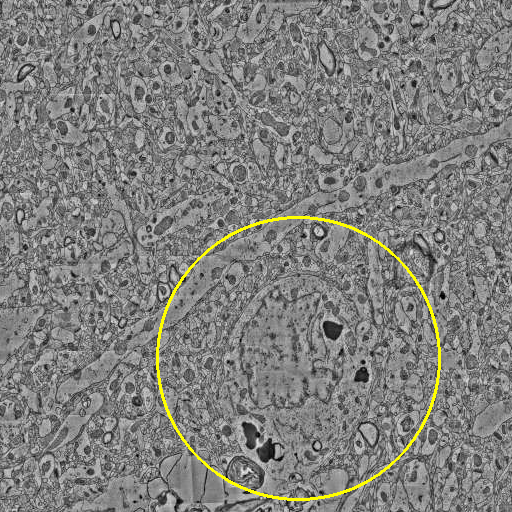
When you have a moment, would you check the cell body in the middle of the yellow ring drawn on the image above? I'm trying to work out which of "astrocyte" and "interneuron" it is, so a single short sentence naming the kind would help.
This cell body belongs to an interneuron.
